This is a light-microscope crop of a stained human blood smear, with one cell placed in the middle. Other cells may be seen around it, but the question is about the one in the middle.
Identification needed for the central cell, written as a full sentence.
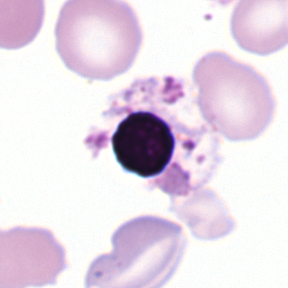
The cell sitting right in the middle is a normoblast.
